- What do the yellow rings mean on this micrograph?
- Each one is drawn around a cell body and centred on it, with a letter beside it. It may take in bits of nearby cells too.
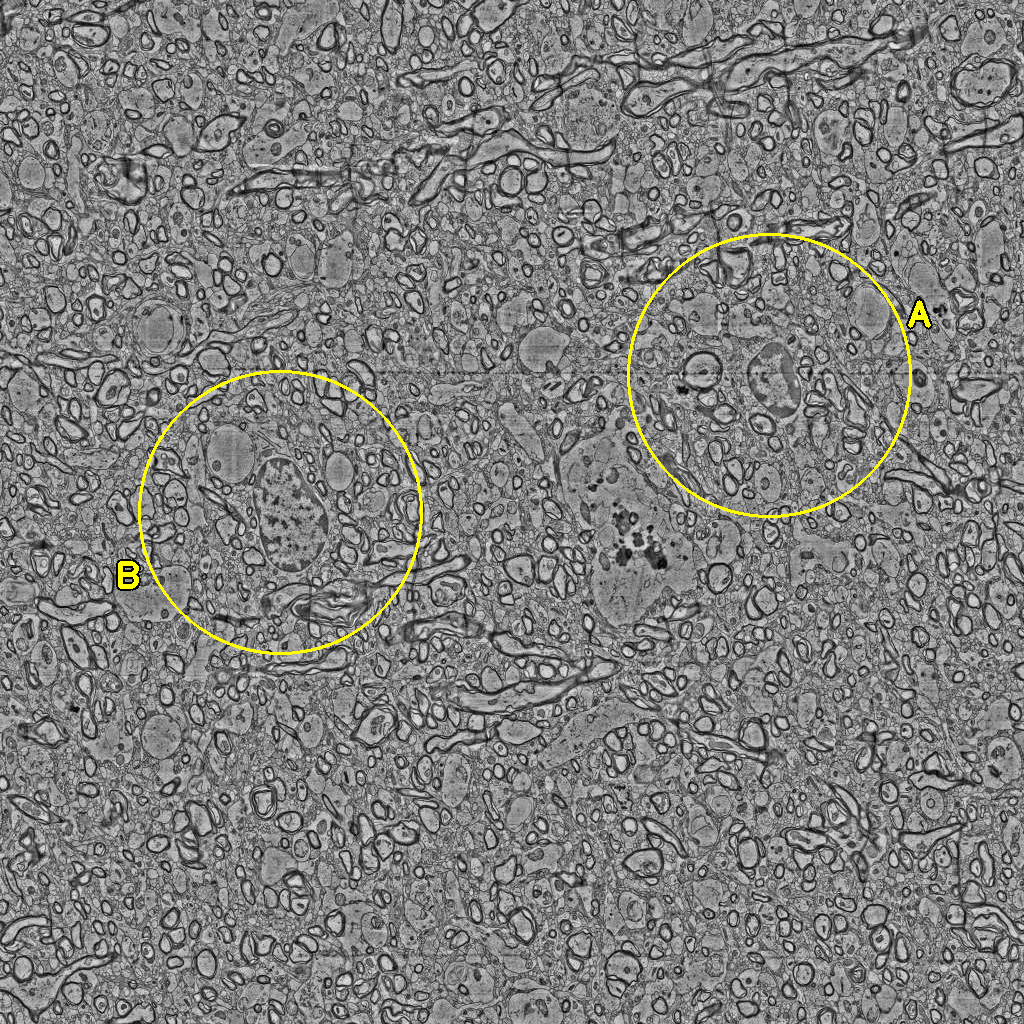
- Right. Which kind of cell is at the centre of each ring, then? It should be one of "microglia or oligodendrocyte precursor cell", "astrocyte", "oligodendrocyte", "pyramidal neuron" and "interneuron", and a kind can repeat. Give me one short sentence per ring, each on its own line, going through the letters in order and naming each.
Ring A circles the cell body of a microglial cell or oligodendrocyte precursor cell.
Ring B circles the cell body of a microglial cell or oligodendrocyte precursor cell.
